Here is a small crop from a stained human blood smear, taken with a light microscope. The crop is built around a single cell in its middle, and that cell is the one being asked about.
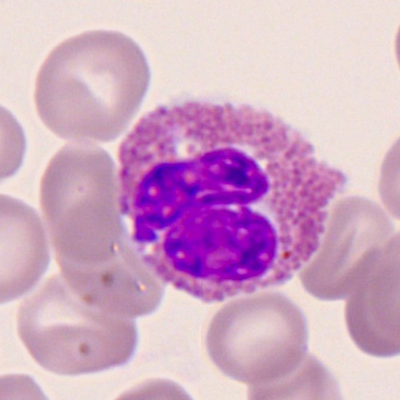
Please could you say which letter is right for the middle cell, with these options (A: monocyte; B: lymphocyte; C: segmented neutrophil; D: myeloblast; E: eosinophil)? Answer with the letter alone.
E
